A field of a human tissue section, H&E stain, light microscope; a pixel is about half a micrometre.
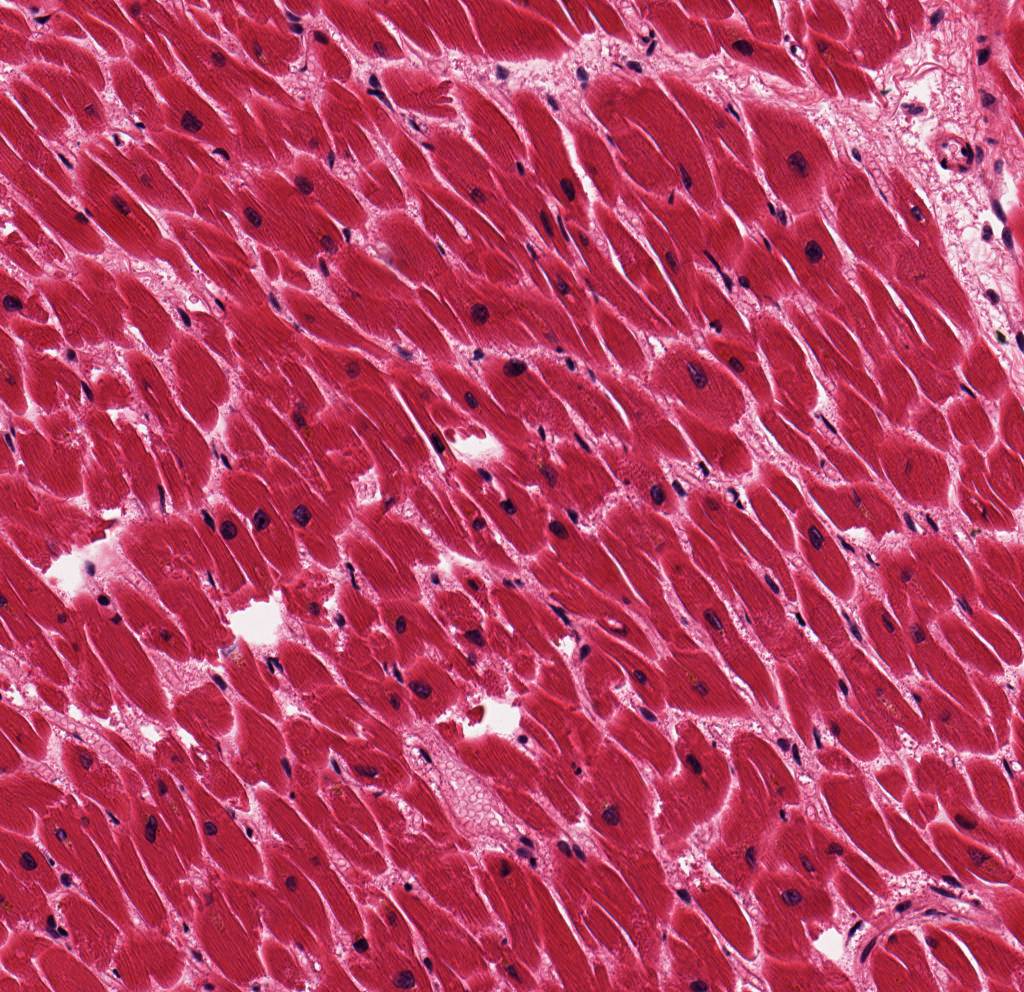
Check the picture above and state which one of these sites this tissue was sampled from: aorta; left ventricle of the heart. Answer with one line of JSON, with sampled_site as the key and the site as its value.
{"sampled_site": "left ventricle of the heart"}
